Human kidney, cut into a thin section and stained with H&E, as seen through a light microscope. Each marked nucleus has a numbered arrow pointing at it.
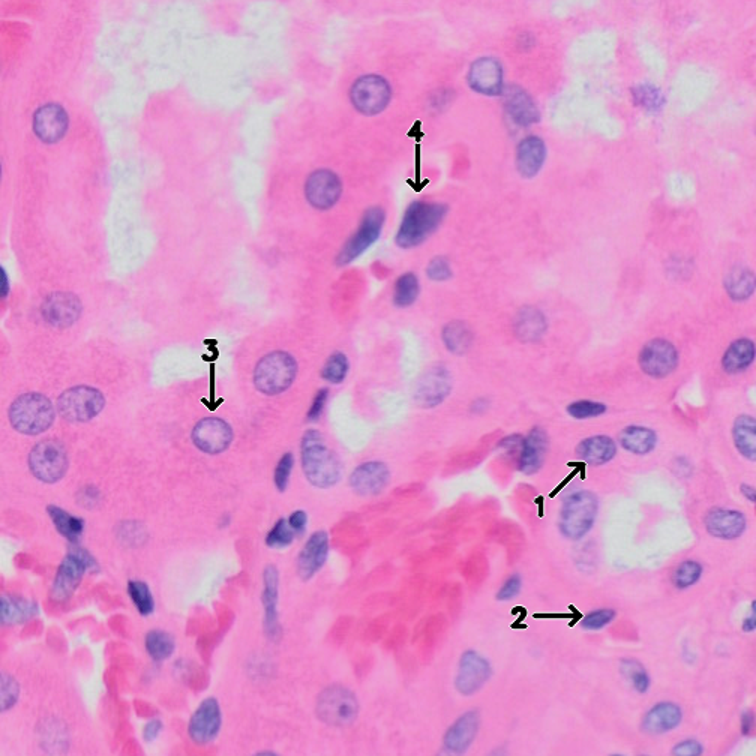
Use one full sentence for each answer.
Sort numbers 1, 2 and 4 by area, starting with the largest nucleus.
The nuclei rank 4, 1, 2, from largest to smallest.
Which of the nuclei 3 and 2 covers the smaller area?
It is nucleus 2; nucleus 3 has about 2 times its area.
